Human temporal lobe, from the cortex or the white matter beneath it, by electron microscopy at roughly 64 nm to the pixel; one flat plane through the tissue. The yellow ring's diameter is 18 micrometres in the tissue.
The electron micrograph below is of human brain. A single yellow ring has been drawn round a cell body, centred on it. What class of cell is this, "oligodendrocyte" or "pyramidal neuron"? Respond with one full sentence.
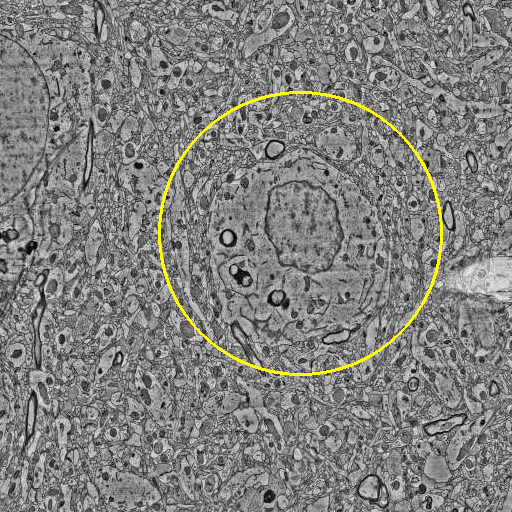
In the micrograph, the cell centred inside the yellow ring is a pyramidal neuron.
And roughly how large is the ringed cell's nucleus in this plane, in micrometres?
Roughly 6 micrometres by 5 micrometres, in this plane.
